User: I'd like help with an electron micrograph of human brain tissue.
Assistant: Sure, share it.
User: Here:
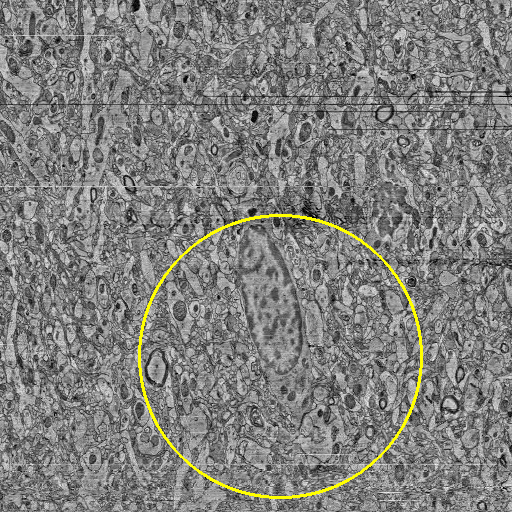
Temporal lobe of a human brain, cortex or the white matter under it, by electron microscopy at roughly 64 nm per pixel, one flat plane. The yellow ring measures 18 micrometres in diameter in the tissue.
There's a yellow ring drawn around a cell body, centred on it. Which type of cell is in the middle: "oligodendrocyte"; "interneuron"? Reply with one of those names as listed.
oligodendrocyte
